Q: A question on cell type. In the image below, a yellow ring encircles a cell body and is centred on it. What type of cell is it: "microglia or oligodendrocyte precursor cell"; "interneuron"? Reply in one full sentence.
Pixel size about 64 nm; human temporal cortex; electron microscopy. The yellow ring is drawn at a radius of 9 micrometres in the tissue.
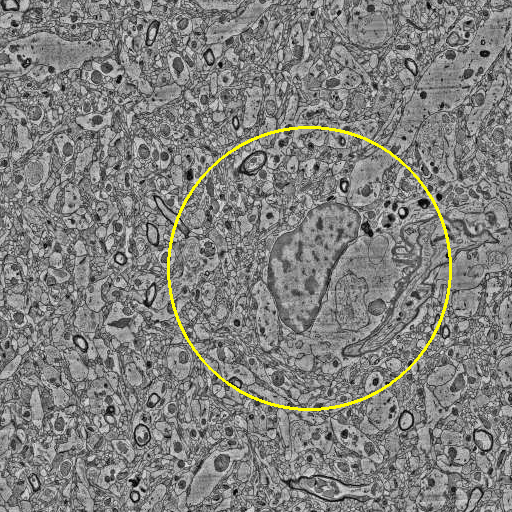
It is a microglial cell or oligodendrocyte precursor cell whose cell body sits at the centre of the yellow ring in the image.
